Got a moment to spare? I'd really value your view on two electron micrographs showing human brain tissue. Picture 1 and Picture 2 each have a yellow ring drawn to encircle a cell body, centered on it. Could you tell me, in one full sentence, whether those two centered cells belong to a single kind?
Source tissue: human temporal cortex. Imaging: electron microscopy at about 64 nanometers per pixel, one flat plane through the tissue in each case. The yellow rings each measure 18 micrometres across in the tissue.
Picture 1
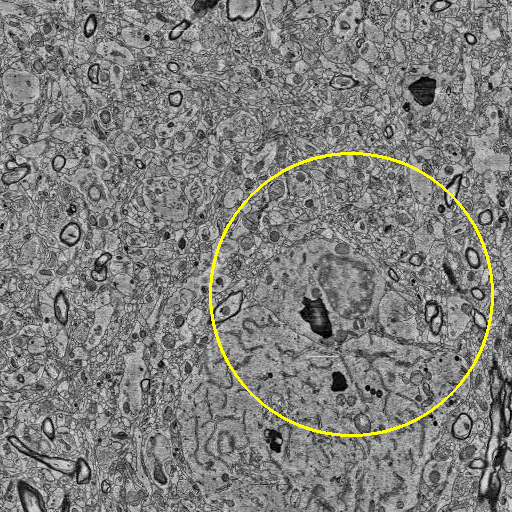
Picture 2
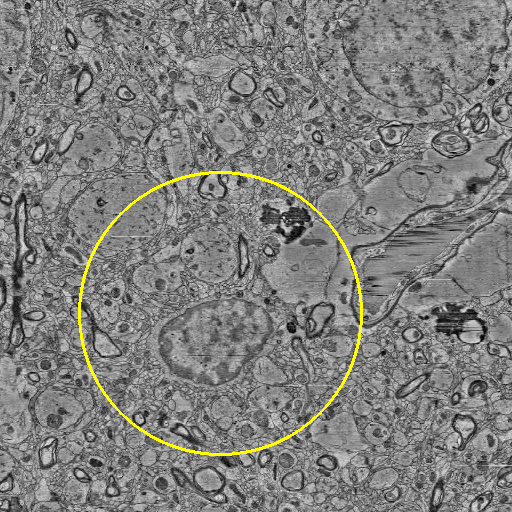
Yes, the two centered cells in Picture 1 and Picture 2 are of a single kind.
